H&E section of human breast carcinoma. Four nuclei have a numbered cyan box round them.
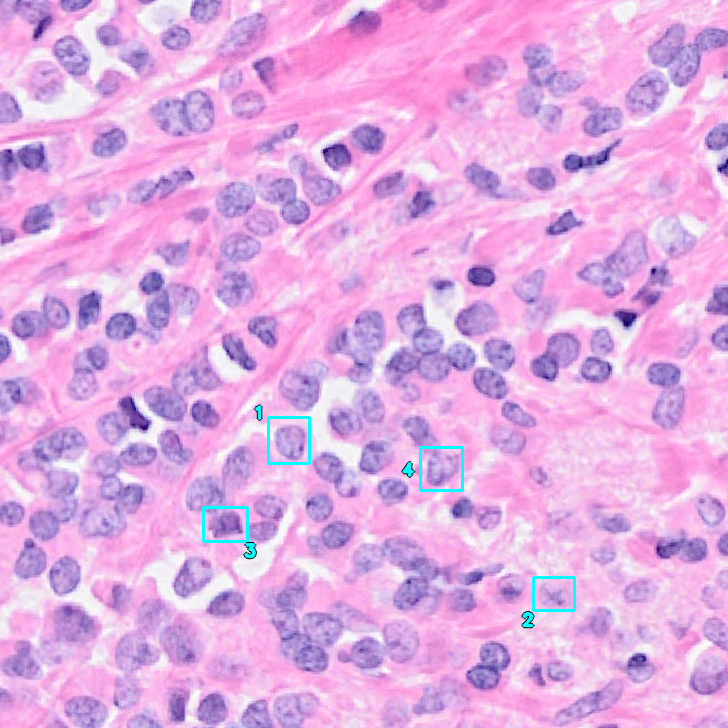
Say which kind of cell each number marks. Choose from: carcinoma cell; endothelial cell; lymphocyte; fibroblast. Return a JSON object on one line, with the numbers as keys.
{"1": "carcinoma cell", "2": "fibroblast", "3": "carcinoma cell", "4": "carcinoma cell"}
